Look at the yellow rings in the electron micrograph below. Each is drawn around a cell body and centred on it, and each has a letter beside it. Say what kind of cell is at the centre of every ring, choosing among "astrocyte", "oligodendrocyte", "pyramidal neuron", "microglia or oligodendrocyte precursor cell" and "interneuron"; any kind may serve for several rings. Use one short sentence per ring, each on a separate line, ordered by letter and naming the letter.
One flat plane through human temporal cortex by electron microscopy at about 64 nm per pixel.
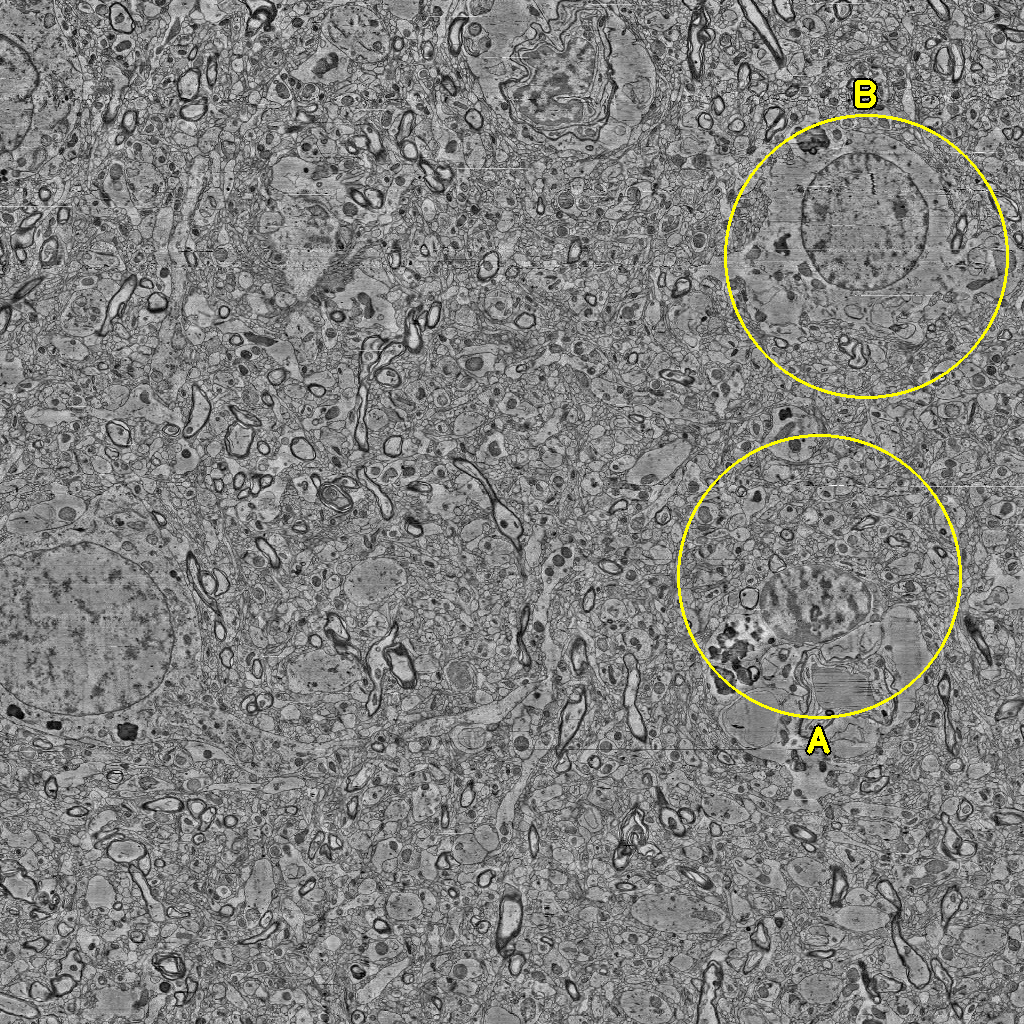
Ring A encircles an oligodendrocyte.
Ring B encircles an astrocyte.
